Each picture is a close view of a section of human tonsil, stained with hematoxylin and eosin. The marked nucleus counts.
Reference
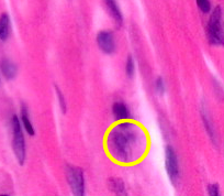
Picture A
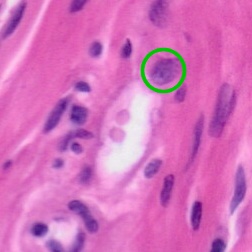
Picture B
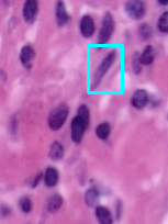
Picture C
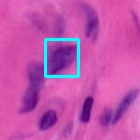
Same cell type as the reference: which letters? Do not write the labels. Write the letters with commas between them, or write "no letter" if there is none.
A, B, C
